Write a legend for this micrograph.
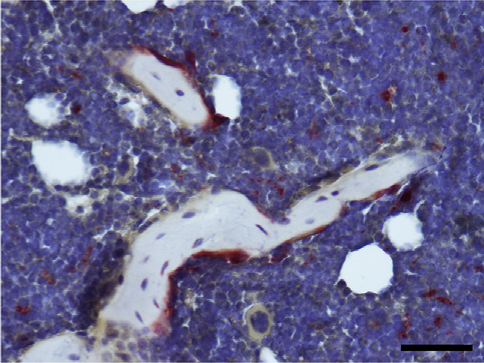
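Cancellous bone with thin, irregular trabeculae surrounded by densely cellular marrow. The bone matrix is pale, with scattered flattened, dark blue osteocyte nuclei in lacunae. Red-stained, flattened cells lie along long stretches of the trabecular surfaces, consistent with osteoclasts. Further red-stained cells are scattered through the marrow. The marrow consists of closely packed small round cells with blue nuclei and contains several round, clear empty spaces of fat cells. A small vessel with a brownish wall is seen near the bottom of the field.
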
